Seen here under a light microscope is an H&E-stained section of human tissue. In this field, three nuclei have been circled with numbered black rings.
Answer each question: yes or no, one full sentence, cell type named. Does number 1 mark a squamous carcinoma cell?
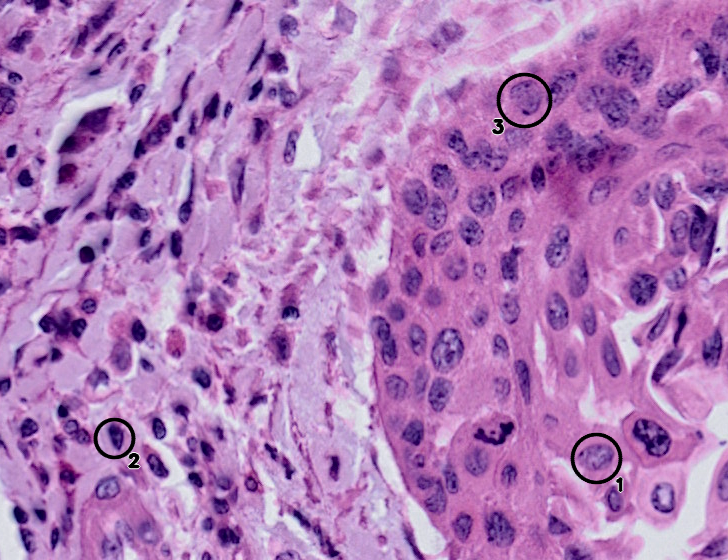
Yes, the cell bearing the number 1 is a squamous carcinoma cell.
